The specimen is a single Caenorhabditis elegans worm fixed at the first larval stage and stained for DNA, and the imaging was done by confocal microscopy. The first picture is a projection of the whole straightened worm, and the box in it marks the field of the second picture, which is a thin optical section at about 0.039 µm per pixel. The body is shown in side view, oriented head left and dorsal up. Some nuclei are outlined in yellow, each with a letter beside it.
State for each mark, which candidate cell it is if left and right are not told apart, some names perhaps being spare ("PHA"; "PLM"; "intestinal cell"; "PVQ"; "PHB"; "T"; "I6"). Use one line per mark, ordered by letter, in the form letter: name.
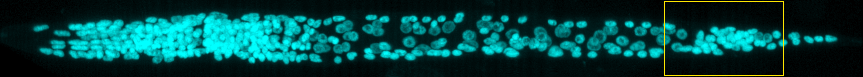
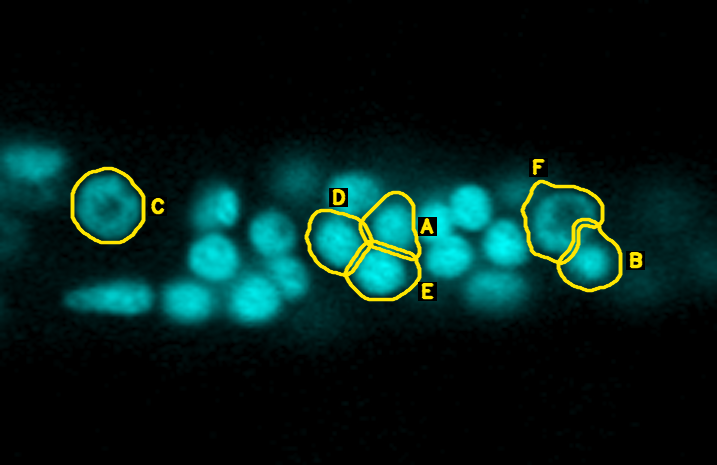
A: PHB
B: PLM
C: intestinal cell
D: PVQ
E: PHA
F: T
